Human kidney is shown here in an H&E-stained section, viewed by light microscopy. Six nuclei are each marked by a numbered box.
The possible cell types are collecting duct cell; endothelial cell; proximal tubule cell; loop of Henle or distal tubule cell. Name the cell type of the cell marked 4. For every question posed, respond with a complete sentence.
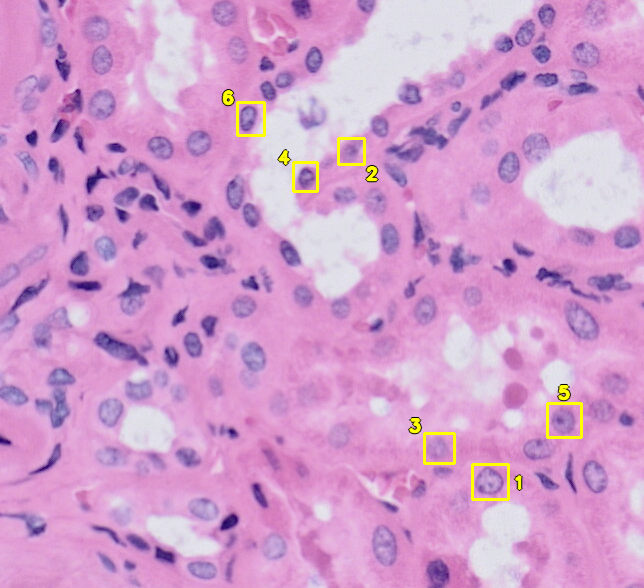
Cell 4, among those numbered, is a loop of Henle or distal tubule cell.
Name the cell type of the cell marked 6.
The cell numbered 6 has been identified as a loop of Henle or distal tubule cell.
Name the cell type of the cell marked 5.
Regarding cell 5, this one is a proximal tubule cell.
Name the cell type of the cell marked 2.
In this section, the cell numbered 2 is a loop of Henle or distal tubule cell.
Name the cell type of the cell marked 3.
The cell referenced by the number 3 is a proximal tubule cell in this field.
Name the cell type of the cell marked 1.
Heads up, the cell numbered 1 is a proximal tubule cell.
